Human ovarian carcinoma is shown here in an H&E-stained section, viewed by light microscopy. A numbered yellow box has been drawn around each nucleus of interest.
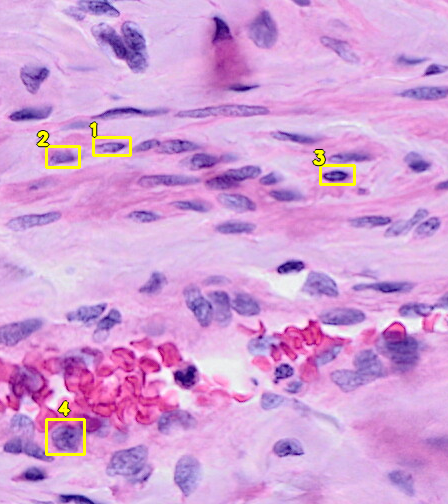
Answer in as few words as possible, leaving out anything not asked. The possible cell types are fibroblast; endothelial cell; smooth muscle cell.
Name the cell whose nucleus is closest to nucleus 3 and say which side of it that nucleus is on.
a smooth muscle cell, above and to the right of nucleus 3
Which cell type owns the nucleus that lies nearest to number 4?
endothelial cell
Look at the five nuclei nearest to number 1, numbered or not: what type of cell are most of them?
smooth muscle cell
